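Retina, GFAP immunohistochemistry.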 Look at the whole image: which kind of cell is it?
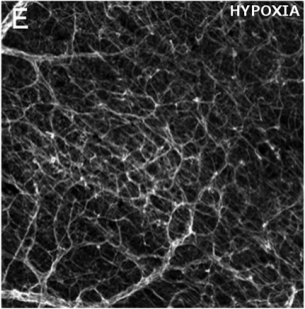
Astrocytes.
